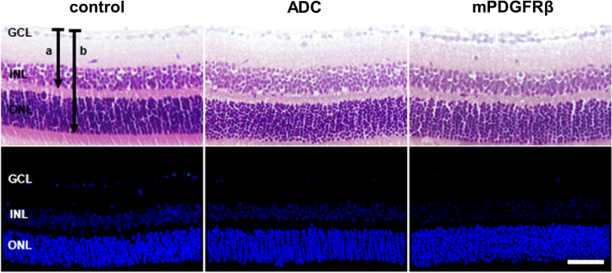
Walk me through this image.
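These are cross-sections of retina in which the nuclear layers stand in horizontal bands. In the hematoxylin and eosin sections, a sparse row of cells at the top lies above a pink band. Below that band is a middle layer of purple nuclei, and below this a thicker, densely packed layer of small dark round nuclei, with paler pink bands between the layers.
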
